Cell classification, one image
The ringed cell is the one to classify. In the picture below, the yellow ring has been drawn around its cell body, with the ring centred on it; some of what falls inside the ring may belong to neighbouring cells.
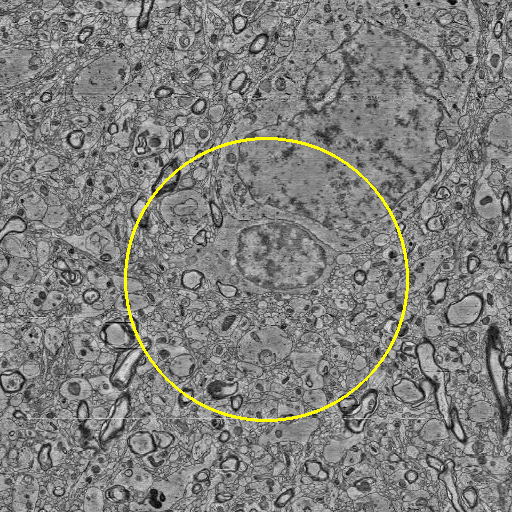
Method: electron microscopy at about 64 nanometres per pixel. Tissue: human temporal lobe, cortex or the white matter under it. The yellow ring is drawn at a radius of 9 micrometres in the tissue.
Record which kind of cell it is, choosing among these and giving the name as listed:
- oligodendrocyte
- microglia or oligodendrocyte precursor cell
oligodendrocyte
